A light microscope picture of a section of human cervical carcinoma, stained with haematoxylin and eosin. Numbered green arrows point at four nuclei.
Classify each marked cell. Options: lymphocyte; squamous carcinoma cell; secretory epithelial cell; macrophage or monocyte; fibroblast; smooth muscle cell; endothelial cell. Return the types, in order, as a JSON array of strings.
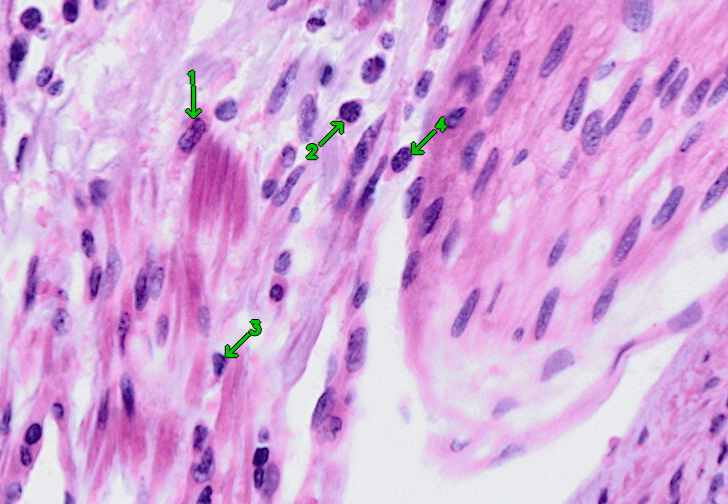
["macrophage or monocyte", "lymphocyte", "lymphocyte", "lymphocyte"]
